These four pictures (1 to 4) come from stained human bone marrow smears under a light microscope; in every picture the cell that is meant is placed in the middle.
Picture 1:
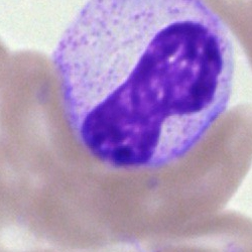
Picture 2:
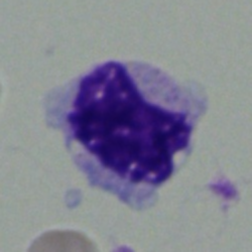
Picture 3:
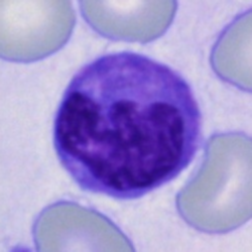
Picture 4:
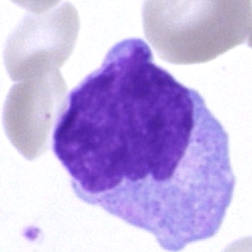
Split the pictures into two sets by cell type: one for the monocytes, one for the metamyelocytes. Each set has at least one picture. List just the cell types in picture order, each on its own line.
metamyelocyte
metamyelocyte
monocyte
monocyte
